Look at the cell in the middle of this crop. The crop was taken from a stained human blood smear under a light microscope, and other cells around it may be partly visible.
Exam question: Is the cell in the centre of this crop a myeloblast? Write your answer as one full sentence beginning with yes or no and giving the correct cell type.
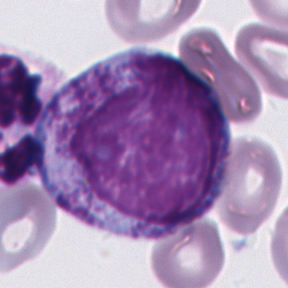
No, the central cell is identified not as a myeloblast but as a promyelocyte.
